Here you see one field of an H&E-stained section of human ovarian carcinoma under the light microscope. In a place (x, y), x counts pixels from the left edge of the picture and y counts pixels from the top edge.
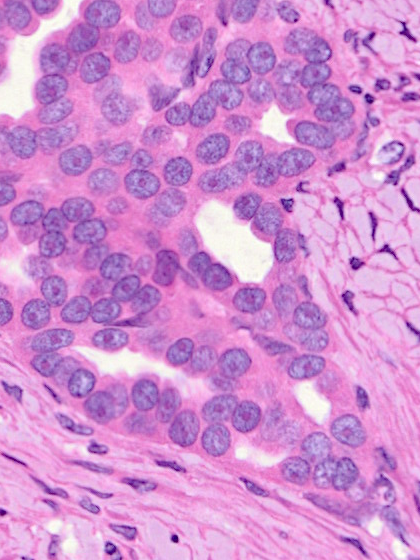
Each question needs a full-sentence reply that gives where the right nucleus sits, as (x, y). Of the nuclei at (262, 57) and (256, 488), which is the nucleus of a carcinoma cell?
The nucleus at (262, 57) is the one of the two that belongs to a carcinoma cell.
